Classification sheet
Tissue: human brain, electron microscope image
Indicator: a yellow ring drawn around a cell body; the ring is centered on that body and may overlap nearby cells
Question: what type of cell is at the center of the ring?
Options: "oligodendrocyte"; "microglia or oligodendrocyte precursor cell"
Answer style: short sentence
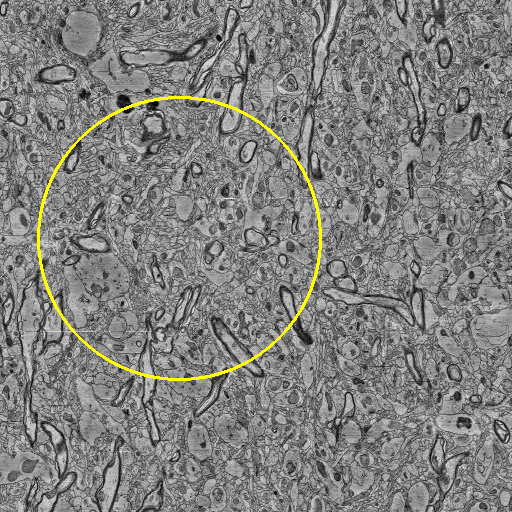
At the ring's center is an oligodendrocyte.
